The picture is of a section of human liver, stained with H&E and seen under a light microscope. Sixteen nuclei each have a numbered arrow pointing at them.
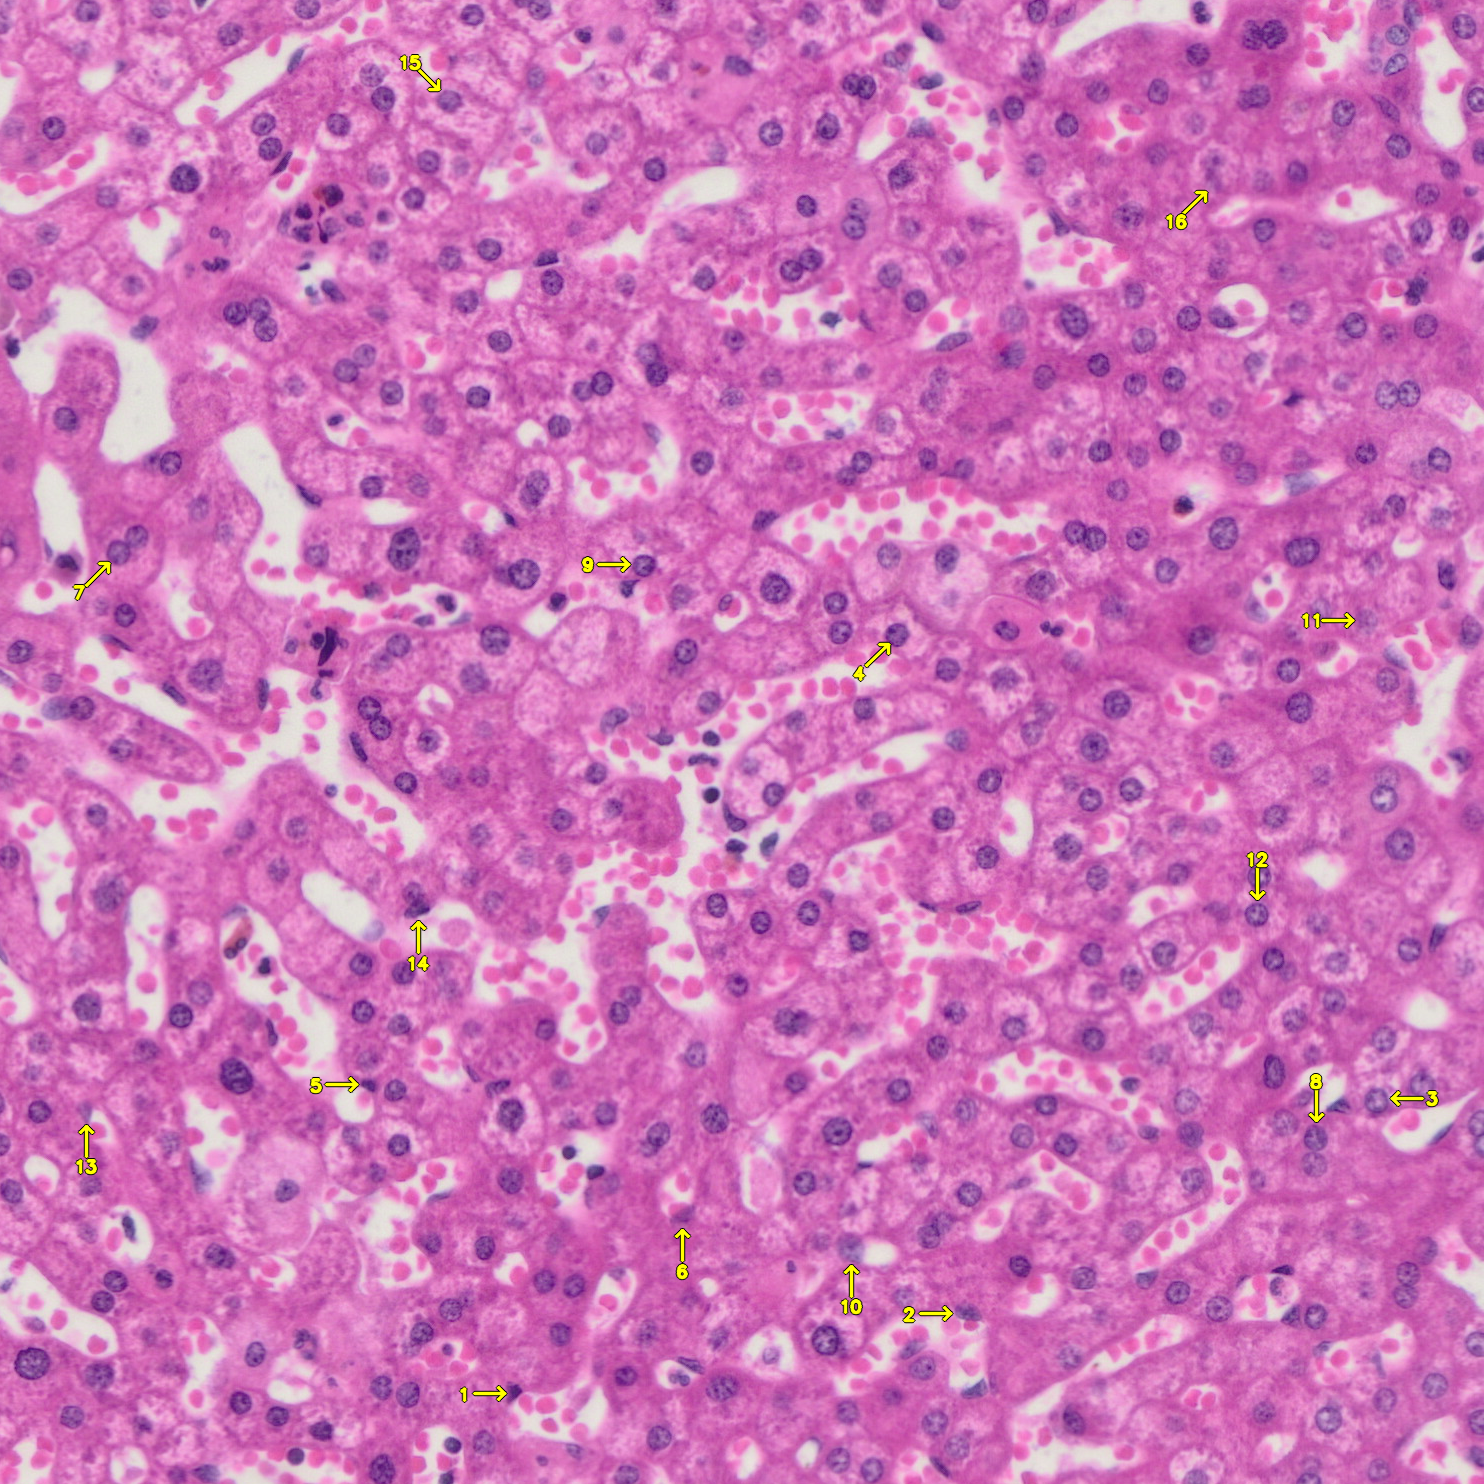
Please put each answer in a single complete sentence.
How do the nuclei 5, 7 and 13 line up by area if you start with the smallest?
The order from the smallest nucleus to the largest is 5, 13, 7.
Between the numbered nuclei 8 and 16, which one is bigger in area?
Nucleus 8 is the larger one, covering about 1.5 times the area of nucleus 16.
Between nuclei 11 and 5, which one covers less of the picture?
The smaller nucleus is 5, and 11 covers roughly 3 times its area.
